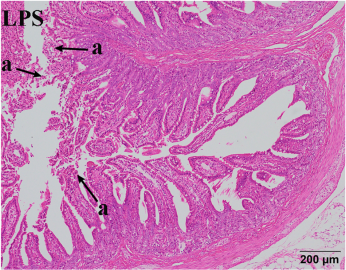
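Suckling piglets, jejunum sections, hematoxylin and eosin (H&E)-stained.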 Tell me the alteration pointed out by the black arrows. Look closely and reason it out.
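Loose, fragmented pink material lies detached in the lumen where the arrows point. The villus tips near the arrows are ragged and broken rather than smooth.
Conclusion: villus shedding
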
